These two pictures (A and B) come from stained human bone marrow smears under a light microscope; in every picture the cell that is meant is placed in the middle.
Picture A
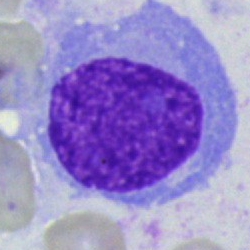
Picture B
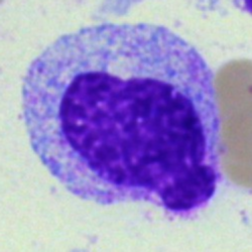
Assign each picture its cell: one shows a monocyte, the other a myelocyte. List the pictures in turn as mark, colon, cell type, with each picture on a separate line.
A: monocyte
B: myelocyte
